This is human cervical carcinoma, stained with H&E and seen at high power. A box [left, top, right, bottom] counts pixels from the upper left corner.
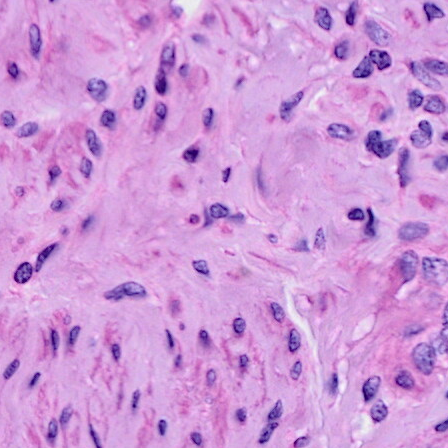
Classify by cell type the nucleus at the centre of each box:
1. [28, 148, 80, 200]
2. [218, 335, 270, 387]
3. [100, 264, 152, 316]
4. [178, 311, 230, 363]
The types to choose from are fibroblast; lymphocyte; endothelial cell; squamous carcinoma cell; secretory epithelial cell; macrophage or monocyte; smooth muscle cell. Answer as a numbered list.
1. smooth muscle cell
2. smooth muscle cell
3. fibroblast
4. smooth muscle cell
